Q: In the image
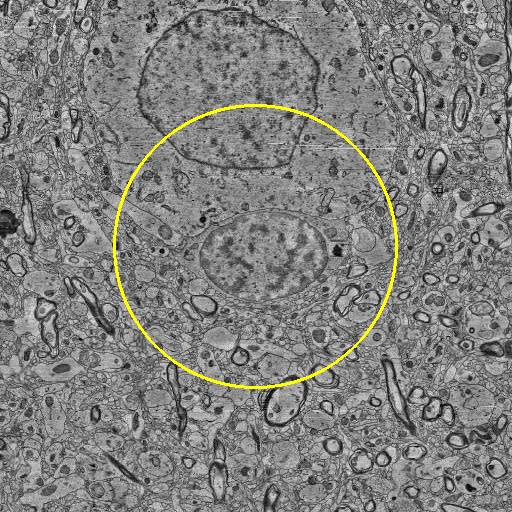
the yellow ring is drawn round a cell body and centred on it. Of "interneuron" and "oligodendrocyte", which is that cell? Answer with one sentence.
The cell centred in the ring is an oligodendrocyte.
